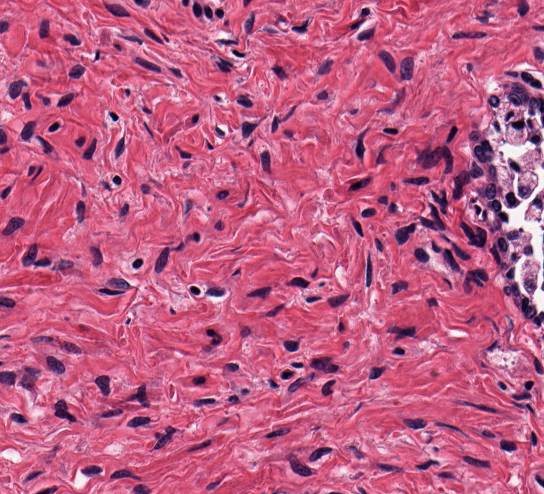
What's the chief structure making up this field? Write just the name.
fibromuscular stroma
